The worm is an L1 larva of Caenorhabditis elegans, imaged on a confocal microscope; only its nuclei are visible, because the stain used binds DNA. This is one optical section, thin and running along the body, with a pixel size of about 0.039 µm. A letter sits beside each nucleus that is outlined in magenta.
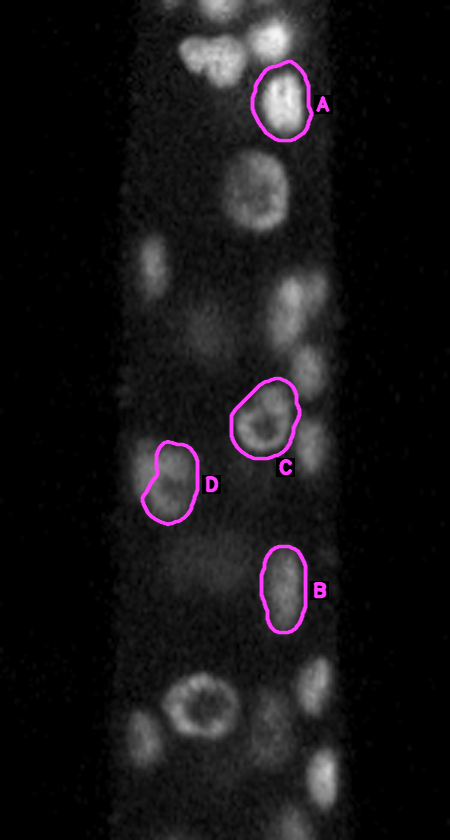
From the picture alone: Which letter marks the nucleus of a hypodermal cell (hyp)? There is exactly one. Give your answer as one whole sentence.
D is from a hypodermal cell (hyp).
